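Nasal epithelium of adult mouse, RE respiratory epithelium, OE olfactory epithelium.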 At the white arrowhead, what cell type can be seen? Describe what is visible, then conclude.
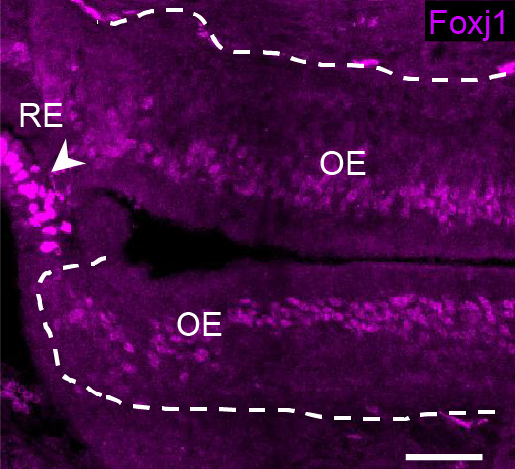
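Multiciliated cells. The arrowhead points to a cluster of very bright magenta cells at the left edge of the epithelium. These cells are far brighter than the magenta band in the thicker epithelium to the right.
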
